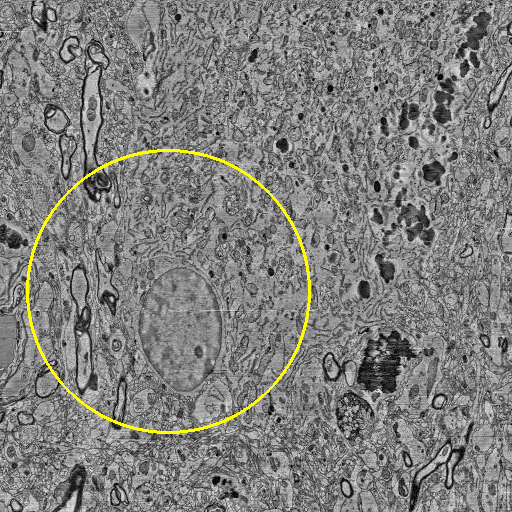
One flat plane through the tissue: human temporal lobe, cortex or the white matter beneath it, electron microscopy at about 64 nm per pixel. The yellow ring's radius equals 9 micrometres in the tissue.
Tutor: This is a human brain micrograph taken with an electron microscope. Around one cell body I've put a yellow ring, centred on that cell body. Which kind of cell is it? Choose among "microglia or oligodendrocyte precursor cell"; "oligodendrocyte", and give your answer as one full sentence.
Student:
Going by your list, the cell centred in the yellow ring is an oligodendrocyte.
